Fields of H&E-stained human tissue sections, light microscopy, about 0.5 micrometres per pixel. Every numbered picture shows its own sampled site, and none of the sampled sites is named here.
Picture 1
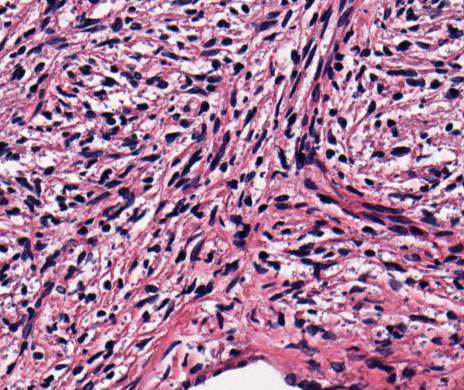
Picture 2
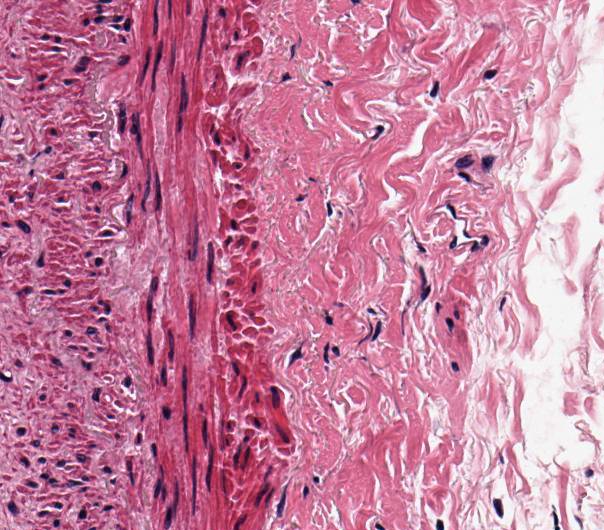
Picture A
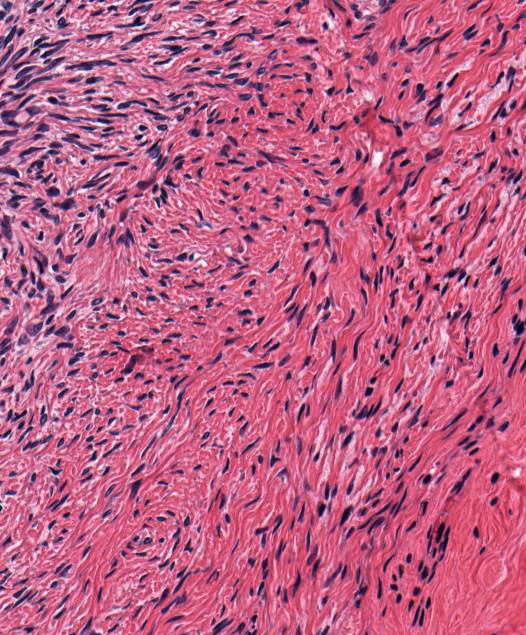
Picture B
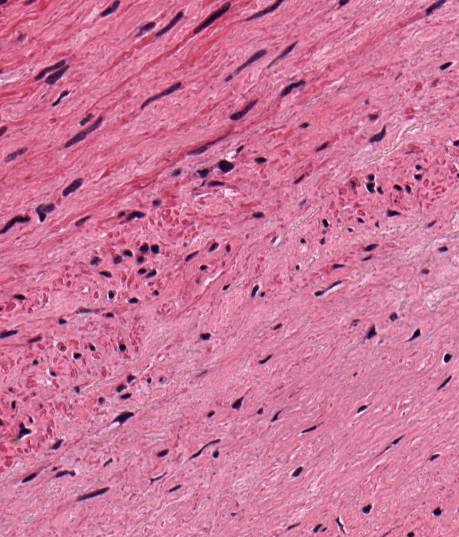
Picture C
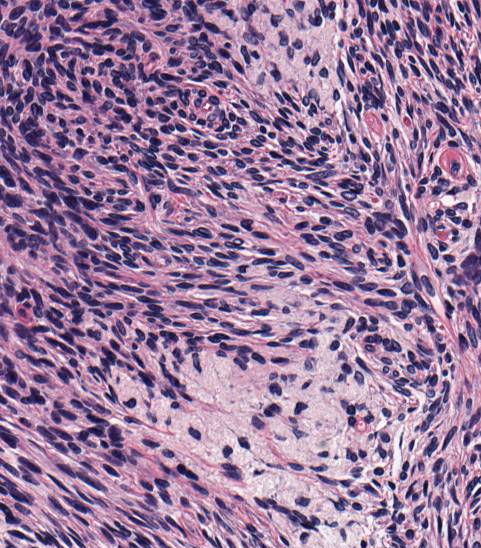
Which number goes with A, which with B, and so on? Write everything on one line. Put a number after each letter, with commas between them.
A 1, B 2, C 1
